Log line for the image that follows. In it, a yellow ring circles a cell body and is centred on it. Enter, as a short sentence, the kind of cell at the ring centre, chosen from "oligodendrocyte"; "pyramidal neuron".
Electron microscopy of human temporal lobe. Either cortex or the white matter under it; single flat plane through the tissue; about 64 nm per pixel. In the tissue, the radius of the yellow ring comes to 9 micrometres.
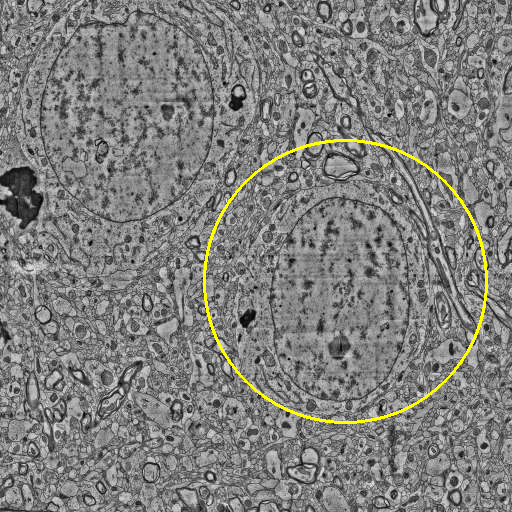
The ring centre is occupied by a pyramidal neuron.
